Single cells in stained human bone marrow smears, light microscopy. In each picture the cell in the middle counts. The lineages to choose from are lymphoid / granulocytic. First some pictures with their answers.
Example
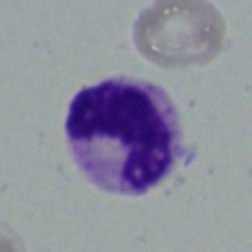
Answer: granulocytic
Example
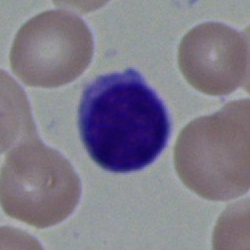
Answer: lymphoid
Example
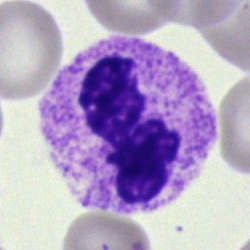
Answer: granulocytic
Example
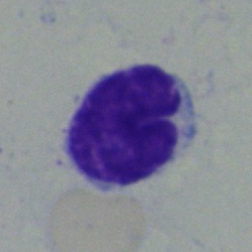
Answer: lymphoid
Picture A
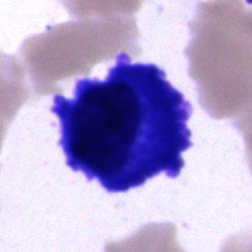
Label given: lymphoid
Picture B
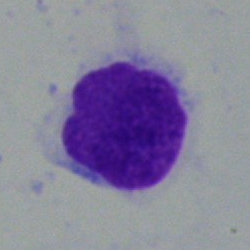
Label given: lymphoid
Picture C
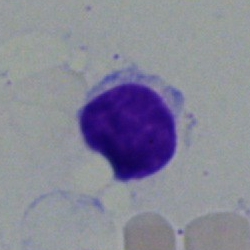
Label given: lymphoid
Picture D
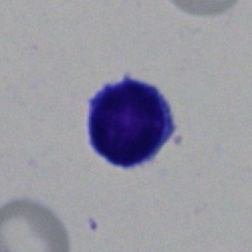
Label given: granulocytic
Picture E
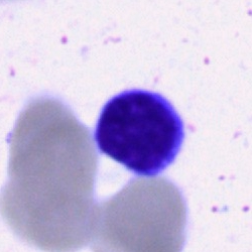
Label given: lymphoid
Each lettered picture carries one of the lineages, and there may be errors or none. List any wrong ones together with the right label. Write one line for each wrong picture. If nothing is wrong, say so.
D is labelled granulocytic; correct label: lymphoid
